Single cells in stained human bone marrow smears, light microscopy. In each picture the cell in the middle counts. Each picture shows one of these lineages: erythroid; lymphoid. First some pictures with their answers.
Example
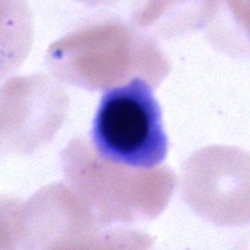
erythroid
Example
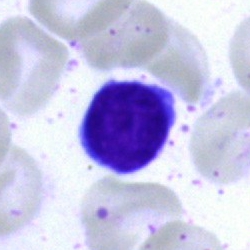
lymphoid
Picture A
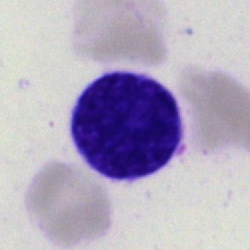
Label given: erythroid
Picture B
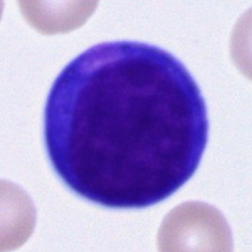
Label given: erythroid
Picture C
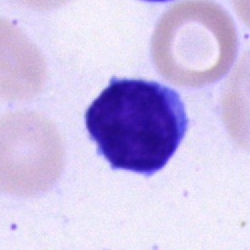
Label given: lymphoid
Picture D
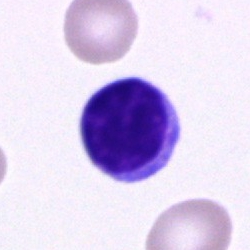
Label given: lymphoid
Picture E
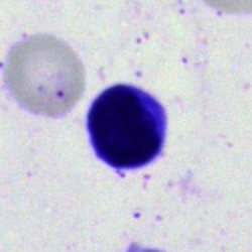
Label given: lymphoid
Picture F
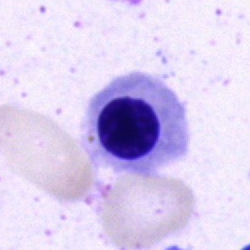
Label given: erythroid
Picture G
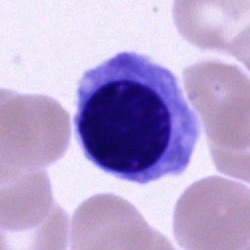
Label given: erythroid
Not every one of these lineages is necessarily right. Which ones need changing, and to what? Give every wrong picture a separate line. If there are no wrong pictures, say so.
A: lymphoid, not erythroid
